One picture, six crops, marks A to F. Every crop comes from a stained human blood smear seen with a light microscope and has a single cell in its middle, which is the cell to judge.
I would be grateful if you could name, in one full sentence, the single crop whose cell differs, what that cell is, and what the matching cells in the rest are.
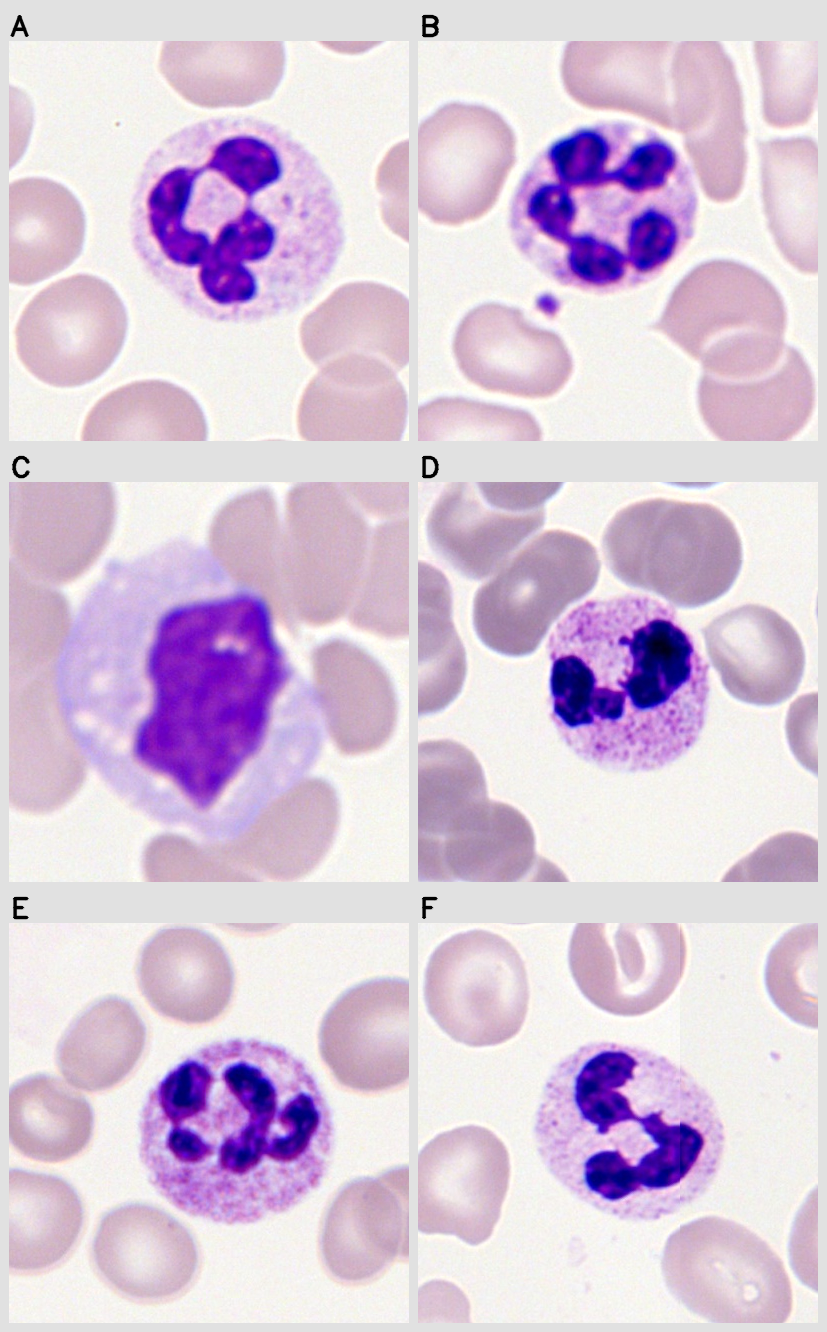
Crop C is the exception here: it is a monocyte, and the others are segmented neutrophils.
